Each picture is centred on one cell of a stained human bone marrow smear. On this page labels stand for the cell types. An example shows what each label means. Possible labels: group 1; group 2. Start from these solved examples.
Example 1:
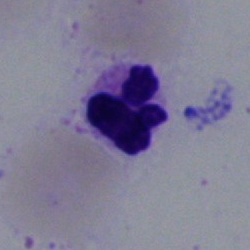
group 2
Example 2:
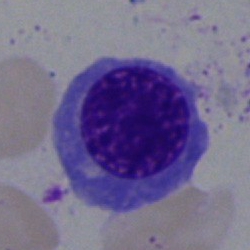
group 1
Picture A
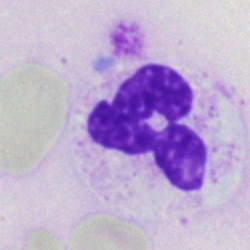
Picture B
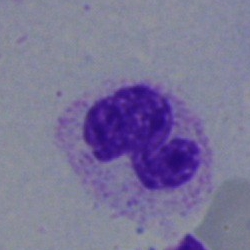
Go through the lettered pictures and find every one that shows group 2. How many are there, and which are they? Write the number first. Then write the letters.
2, namely A, B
